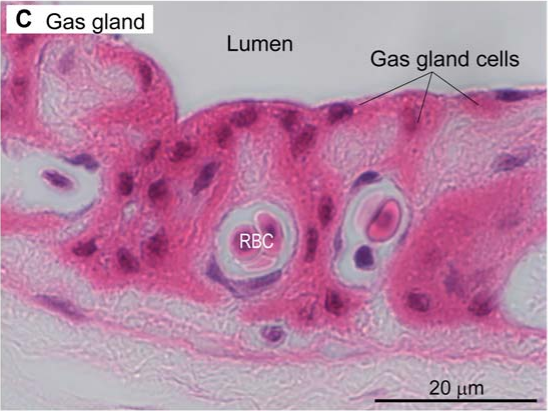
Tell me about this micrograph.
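The gas gland cells have strongly pink cytoplasm and round to oval, dark purple nuclei, and they form a layer several cells thick along the lumen's edge. Small capillaries with thin walls lie within this cell layer, and their lumens contain oval red blood cells that each carry a dark central nucleus. Beneath the epithelium lies pale, loosely fibrous connective tissue with few nuclei.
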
